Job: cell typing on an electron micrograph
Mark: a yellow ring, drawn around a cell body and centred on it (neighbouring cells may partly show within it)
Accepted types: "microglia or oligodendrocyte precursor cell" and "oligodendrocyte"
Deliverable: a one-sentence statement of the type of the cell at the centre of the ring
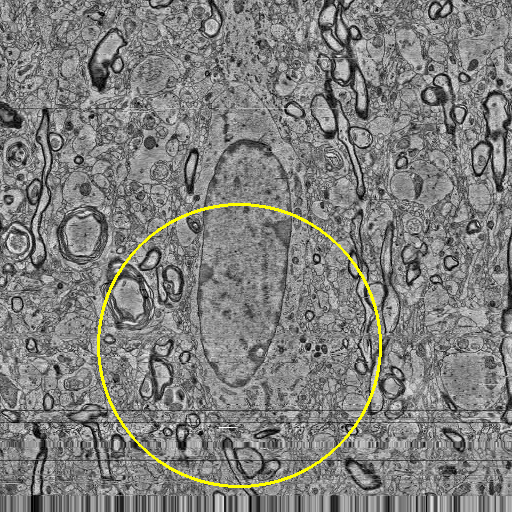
The centred cell body is that of a microglial cell or oligodendrocyte precursor cell.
